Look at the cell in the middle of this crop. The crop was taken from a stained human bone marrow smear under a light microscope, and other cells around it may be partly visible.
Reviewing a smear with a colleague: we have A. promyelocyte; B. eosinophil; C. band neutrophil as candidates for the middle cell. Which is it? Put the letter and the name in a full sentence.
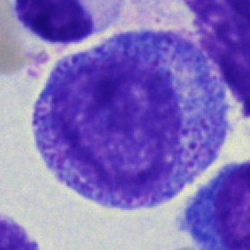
Option A is the correct one; it names the central cell as a promyelocyte.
